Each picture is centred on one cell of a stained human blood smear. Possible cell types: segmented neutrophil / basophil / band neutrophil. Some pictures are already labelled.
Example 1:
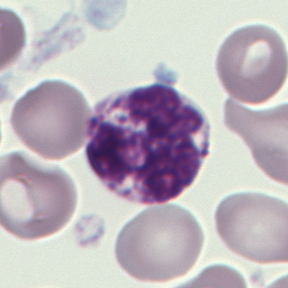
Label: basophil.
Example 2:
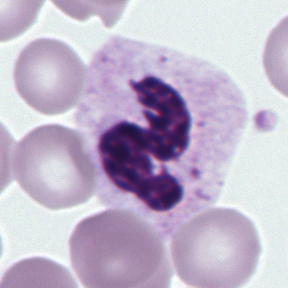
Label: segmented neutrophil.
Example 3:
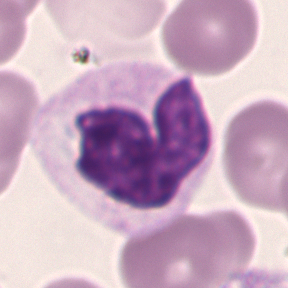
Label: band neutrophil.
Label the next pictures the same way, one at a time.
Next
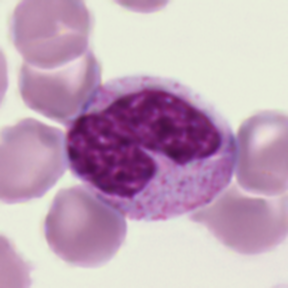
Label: band neutrophil.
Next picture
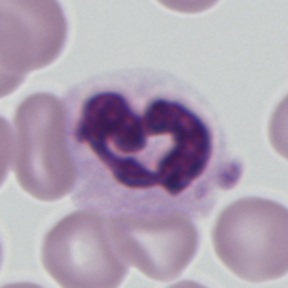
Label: segmented neutrophil.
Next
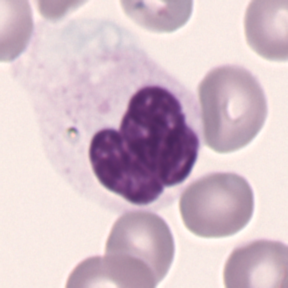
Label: segmented neutrophil.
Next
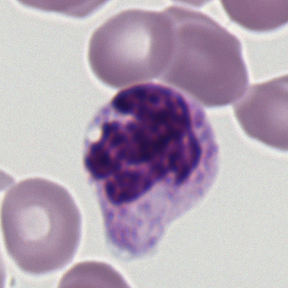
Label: segmented neutrophil.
